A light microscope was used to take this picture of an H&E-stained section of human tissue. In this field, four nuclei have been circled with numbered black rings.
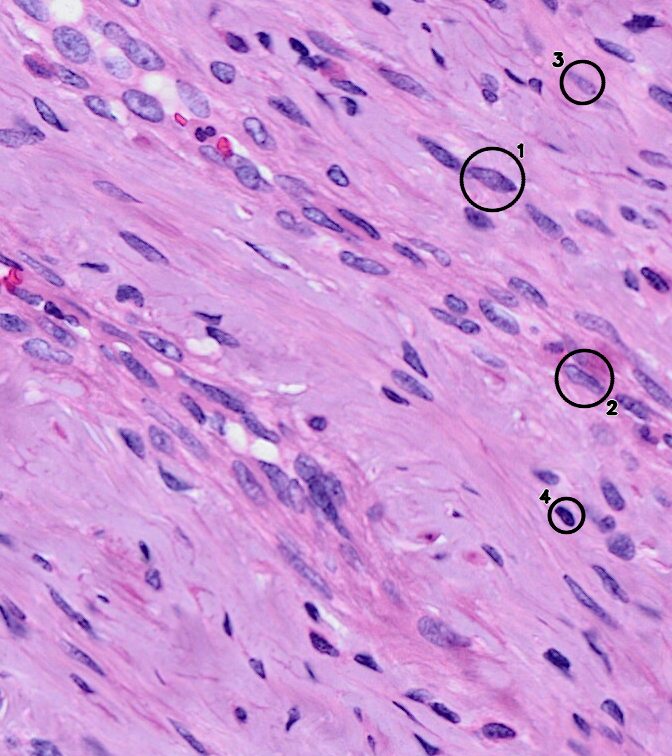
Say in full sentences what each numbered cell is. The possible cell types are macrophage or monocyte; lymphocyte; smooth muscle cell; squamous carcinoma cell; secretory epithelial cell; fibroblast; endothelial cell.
Cells 1 and 3 are fibroblasts. Cell 2 is an endothelial cell. Cell 4 is a lymphocyte.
